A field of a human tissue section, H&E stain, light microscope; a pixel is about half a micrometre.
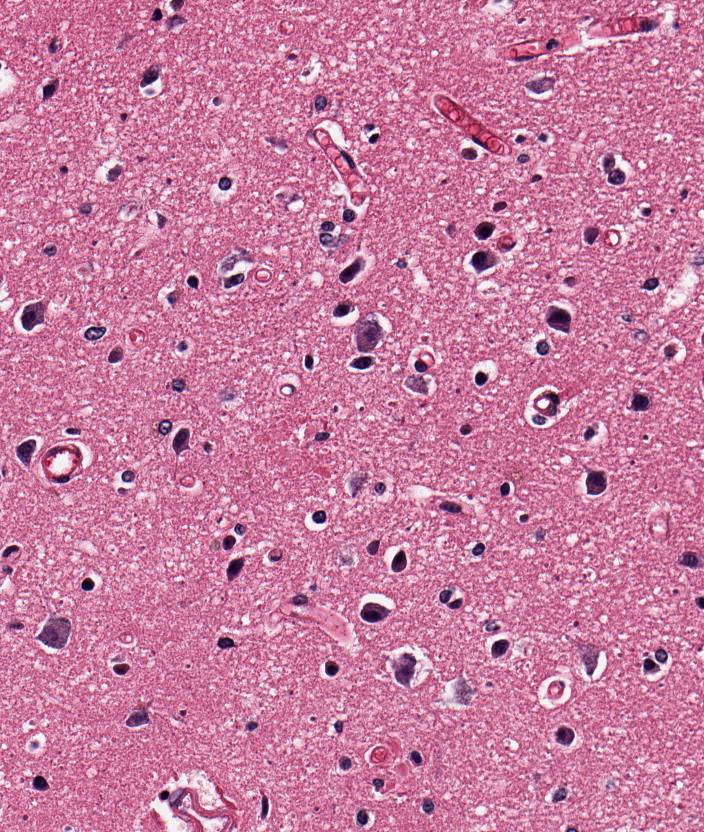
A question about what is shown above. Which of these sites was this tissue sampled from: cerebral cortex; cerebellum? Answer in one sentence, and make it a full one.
This tissue section originates from the cerebral cortex.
